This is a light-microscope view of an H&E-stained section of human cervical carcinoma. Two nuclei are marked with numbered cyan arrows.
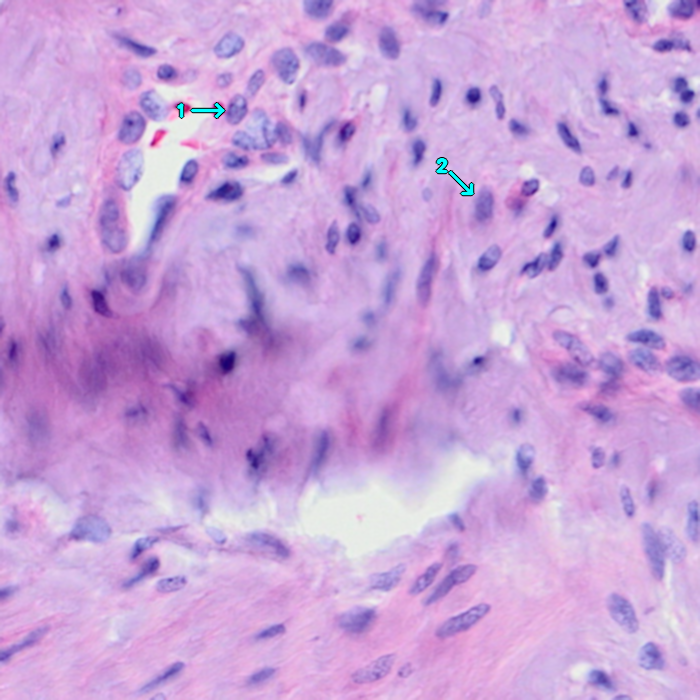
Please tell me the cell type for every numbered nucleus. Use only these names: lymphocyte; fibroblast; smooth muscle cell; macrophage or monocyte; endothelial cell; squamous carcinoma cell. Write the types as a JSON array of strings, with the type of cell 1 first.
["endothelial cell", "fibroblast"]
